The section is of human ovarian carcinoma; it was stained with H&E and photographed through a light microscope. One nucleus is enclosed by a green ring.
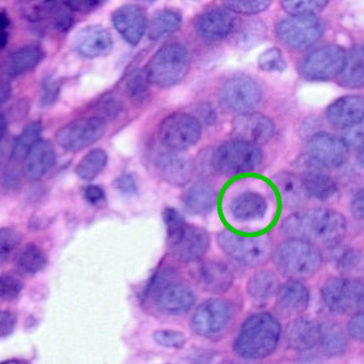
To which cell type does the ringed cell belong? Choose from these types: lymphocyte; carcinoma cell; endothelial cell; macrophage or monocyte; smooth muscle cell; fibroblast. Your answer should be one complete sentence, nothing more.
It is a macrophage or monocyte that the ringed cell represents.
